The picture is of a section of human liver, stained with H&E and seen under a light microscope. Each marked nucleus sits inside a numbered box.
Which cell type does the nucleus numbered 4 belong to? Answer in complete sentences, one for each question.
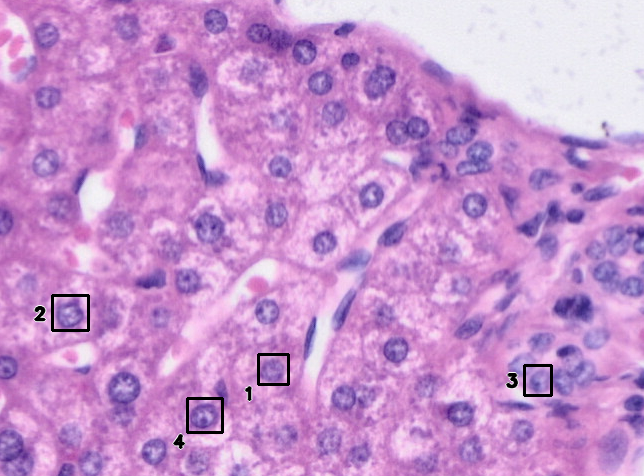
The numbered cell 4 in this field is a hepatocyte.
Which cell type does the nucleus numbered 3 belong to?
The expected answer is that cell 3 is a cholangiocyte.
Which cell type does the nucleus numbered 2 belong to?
Cell 2 is classified as a hepatocyte.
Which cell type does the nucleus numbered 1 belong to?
The mark numbered 1 indicates the nucleus of a hepatocyte.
